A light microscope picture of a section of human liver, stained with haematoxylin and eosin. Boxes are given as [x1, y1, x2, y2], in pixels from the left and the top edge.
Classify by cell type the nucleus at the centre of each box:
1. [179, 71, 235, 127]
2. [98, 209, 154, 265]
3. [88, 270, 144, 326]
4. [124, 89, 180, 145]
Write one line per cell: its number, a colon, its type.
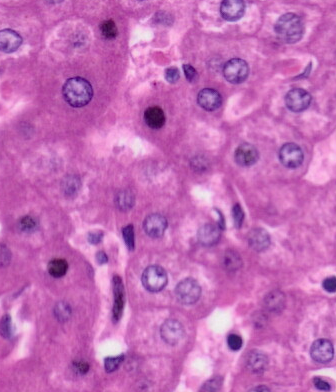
1: hepatocyte
2: fibroblast or stellate cell
3: Kupffer cell
4: hepatocyte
